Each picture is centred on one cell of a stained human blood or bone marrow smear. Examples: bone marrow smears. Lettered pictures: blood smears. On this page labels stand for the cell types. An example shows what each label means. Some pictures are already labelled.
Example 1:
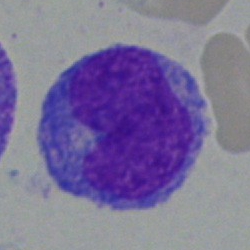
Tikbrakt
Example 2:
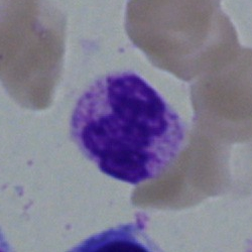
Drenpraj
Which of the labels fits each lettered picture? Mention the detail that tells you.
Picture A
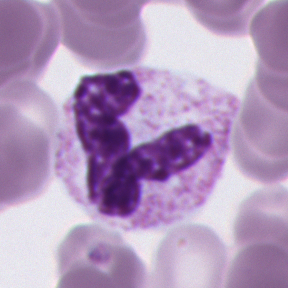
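Drenpraj. Reason: The cytoplasm is plentiful and pale pinkish-lilac.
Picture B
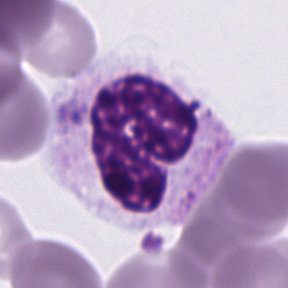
Drenpraj. Reason: The cytoplasm is abundant and forms a wide rim around the nucleus.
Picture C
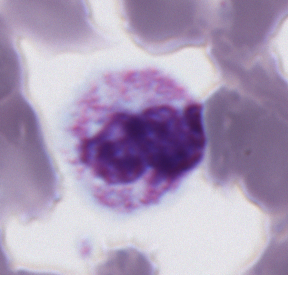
Drenpraj. Reason: The cytoplasm between the granules is pale, almost colourless.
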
